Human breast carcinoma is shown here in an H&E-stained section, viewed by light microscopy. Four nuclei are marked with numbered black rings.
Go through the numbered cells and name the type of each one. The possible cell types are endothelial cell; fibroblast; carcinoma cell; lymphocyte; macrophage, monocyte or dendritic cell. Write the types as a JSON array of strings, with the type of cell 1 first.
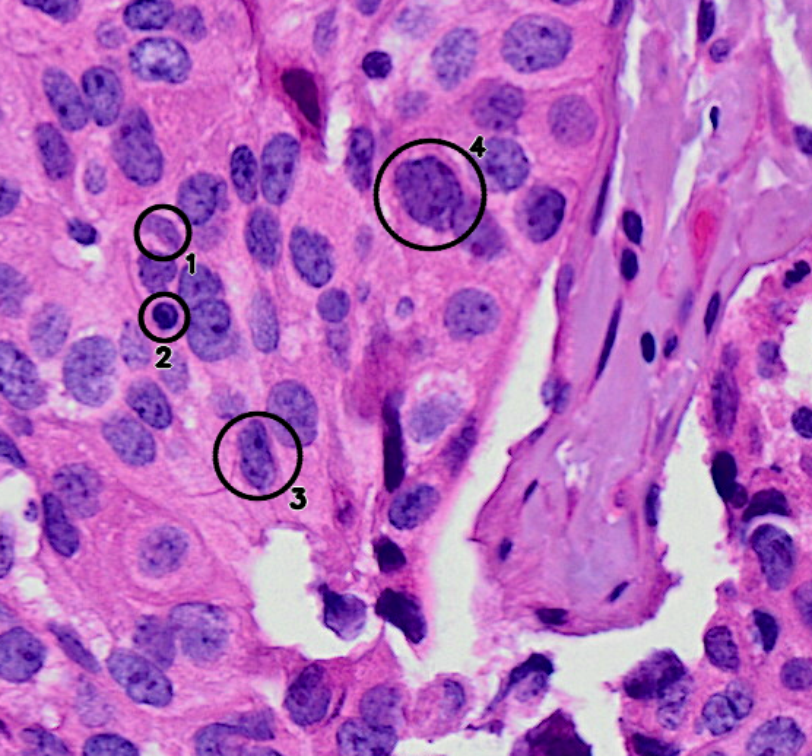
["carcinoma cell", "lymphocyte", "carcinoma cell", "carcinoma cell"]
